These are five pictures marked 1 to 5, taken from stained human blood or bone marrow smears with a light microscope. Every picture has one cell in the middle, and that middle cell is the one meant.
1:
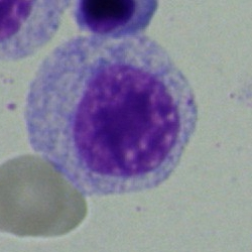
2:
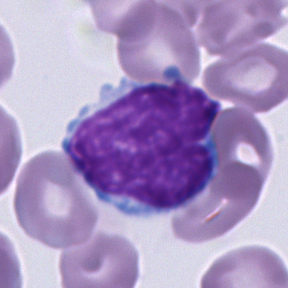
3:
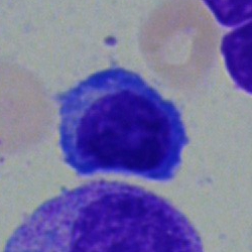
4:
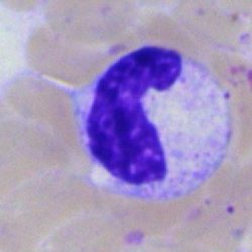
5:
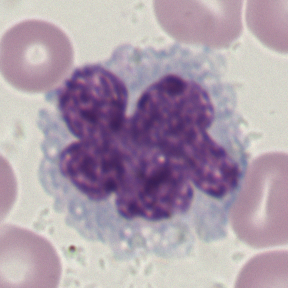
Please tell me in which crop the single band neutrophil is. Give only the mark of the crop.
4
